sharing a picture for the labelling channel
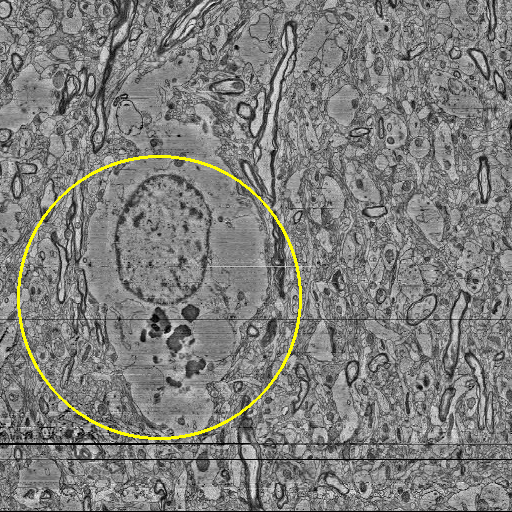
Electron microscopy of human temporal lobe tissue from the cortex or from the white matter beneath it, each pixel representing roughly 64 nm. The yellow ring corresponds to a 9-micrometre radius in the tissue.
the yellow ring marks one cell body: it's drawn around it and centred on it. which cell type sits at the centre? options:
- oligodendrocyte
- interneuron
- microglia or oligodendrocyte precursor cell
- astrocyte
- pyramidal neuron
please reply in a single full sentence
In the picture, the cell at the ring's centre is an astrocyte, going by the list.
